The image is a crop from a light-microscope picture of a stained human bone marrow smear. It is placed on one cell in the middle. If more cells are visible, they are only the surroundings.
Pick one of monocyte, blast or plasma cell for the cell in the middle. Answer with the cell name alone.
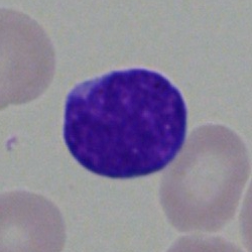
blast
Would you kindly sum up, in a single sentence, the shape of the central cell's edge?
Its periphery is smooth, and no projections arise from it.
